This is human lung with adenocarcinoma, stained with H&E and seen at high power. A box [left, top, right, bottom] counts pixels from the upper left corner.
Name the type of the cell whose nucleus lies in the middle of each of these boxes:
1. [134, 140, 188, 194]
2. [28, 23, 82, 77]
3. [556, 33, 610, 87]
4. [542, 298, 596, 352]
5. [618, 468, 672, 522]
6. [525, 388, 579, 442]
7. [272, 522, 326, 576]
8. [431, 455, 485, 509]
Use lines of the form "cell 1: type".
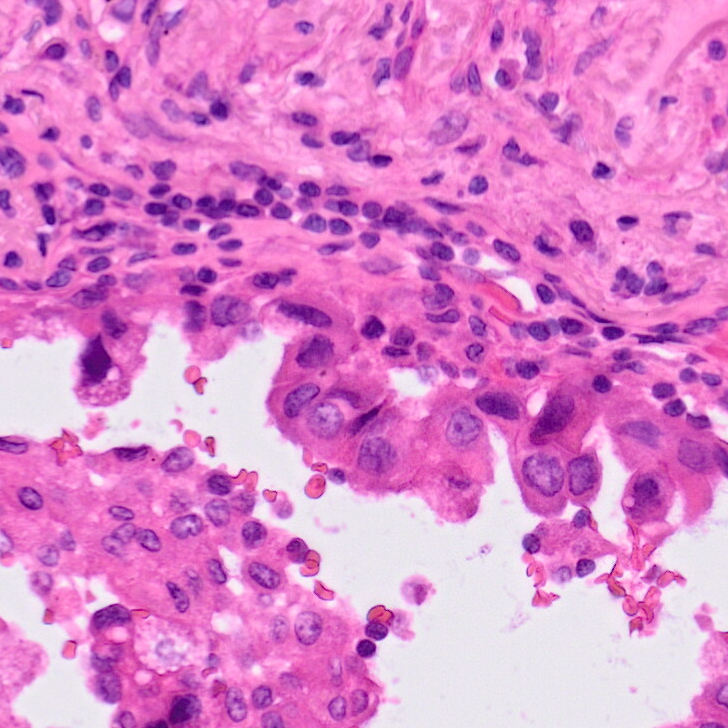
cell 1: lymphocyte
cell 2: plasma cell
cell 3: smooth muscle cell or pericyte
cell 4: plasma cell
cell 5: carcinoma cell
cell 6: carcinoma cell
cell 7: macrophage or monocyte
cell 8: carcinoma cell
